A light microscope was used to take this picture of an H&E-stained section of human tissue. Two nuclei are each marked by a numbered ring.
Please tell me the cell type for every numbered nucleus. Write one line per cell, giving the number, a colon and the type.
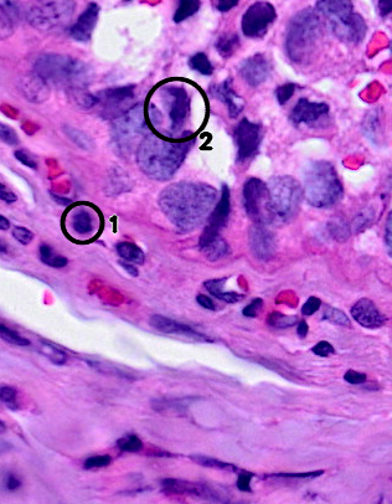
1: mast cell
2: carcinoma cell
